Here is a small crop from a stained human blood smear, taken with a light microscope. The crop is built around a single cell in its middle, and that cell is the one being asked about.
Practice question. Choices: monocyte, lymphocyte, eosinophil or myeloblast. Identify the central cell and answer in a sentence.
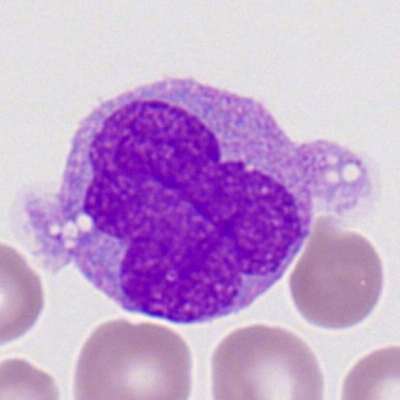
The center cell of this crop is a monocyte.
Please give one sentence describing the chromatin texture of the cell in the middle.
The chromatin pattern is fine and free of coarse clumps.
